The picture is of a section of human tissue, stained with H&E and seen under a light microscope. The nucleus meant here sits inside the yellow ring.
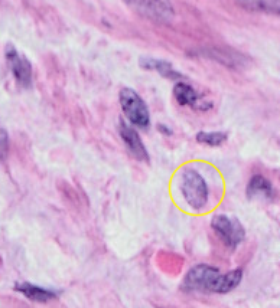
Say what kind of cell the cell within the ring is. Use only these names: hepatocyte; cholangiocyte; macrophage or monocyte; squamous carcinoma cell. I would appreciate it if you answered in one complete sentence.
In cell-type terms, the cell within the ring is a macrophage or monocyte.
